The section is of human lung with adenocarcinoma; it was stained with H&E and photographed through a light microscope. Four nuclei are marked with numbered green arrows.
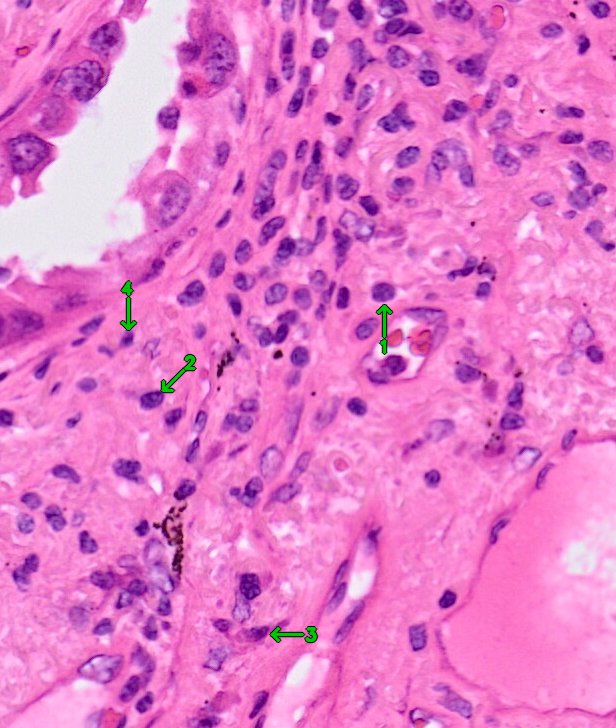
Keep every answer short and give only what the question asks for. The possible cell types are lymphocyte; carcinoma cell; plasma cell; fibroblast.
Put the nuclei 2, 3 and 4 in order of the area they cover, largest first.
2, 3, 4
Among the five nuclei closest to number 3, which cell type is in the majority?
fibroblast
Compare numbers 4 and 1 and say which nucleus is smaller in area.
4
